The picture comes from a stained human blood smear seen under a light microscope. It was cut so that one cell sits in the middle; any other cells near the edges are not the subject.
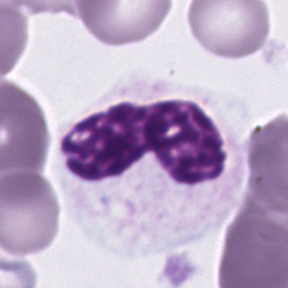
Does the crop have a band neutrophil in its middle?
yes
